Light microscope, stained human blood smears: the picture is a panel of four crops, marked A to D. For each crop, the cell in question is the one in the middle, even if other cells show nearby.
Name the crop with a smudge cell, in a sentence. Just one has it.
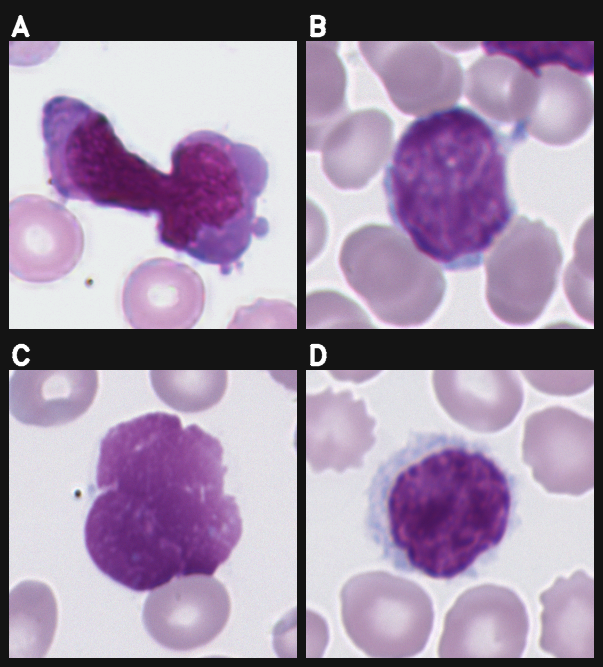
The crop that shows a smudge cell is crop C.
